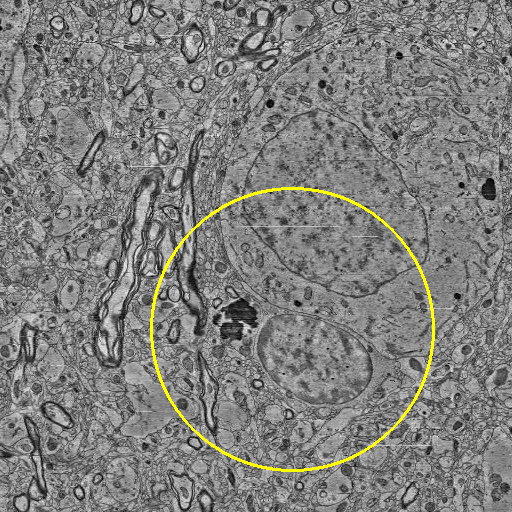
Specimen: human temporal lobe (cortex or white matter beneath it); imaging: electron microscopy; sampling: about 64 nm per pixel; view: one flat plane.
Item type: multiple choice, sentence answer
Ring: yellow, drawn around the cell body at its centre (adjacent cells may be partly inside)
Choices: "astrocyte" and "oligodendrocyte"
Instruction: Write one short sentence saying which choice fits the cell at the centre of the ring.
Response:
This ring is drawn around an oligodendrocyte.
